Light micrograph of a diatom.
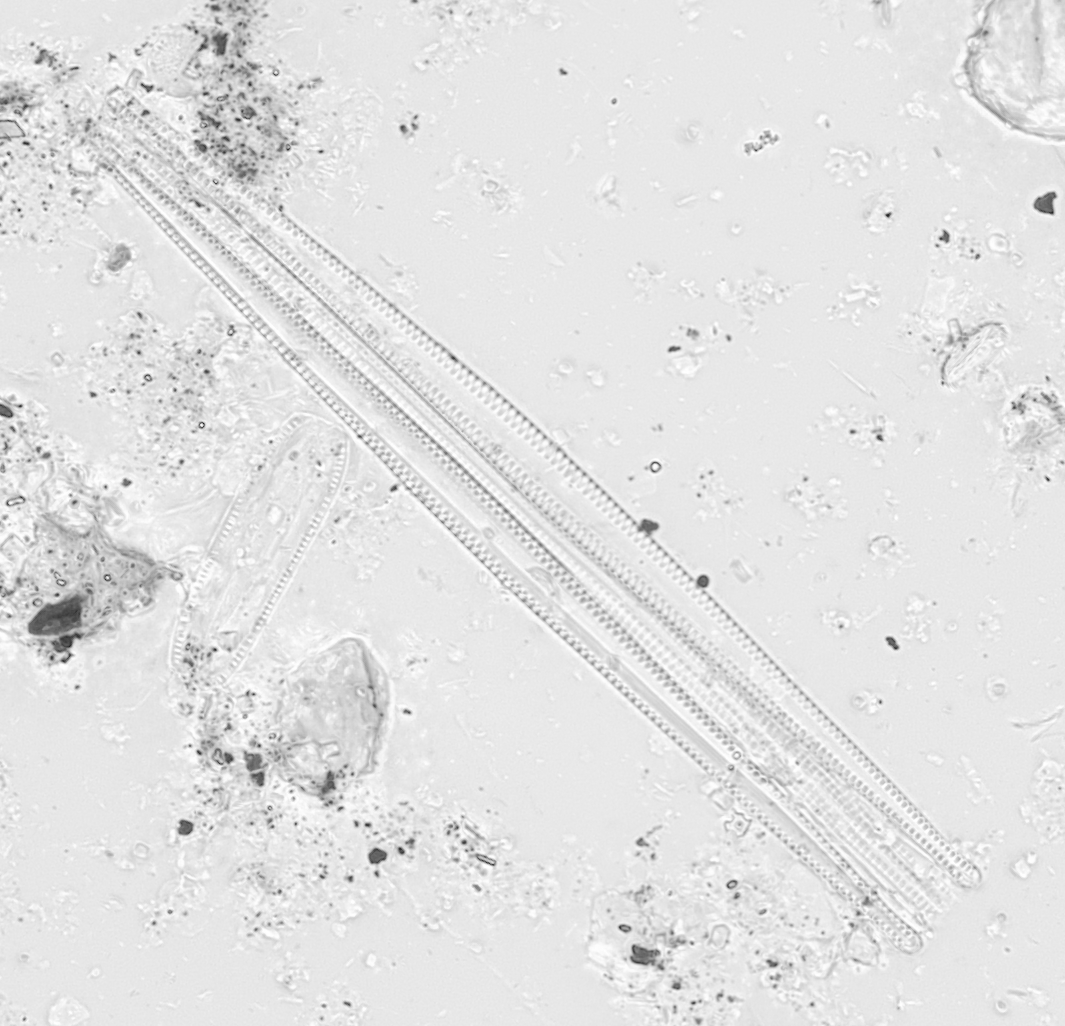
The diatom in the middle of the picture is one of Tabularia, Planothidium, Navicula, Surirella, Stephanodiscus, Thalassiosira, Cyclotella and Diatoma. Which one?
Tabularia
